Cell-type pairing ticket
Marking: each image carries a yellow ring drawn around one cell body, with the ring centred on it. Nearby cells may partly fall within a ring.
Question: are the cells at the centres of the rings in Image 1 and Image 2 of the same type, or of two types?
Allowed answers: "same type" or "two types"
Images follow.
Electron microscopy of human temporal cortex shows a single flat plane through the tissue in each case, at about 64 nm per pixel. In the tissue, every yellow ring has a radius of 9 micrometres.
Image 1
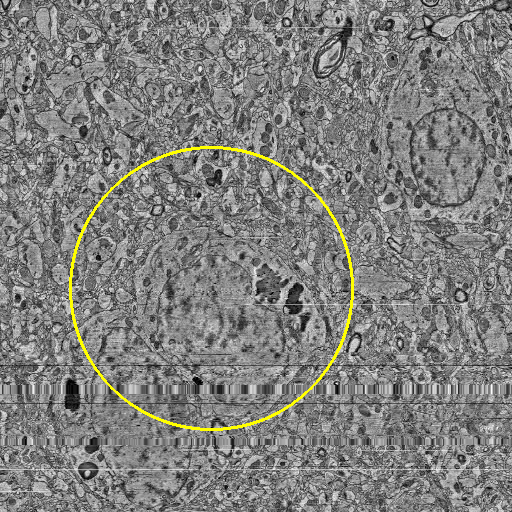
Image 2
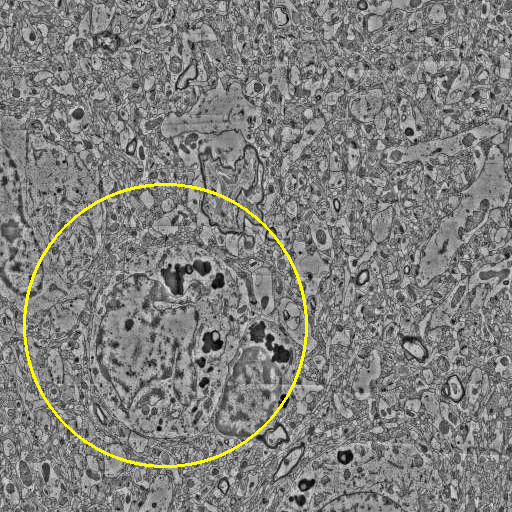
same type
